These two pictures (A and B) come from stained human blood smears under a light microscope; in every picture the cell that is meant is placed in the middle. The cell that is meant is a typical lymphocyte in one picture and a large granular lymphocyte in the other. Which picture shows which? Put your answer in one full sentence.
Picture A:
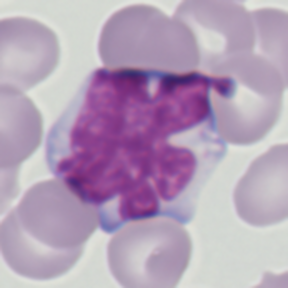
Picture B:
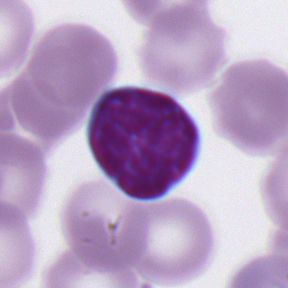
The cell in picture A is a large granular lymphocyte, and the one in picture B is a typical lymphocyte.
